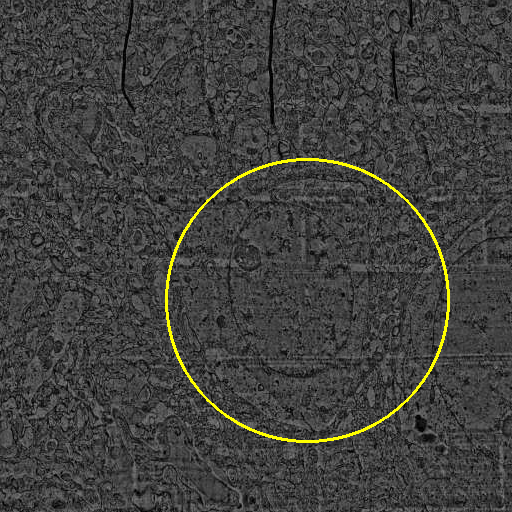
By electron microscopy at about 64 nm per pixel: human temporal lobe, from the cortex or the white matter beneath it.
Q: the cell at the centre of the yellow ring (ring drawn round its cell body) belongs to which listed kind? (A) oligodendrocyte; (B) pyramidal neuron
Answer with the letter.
B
